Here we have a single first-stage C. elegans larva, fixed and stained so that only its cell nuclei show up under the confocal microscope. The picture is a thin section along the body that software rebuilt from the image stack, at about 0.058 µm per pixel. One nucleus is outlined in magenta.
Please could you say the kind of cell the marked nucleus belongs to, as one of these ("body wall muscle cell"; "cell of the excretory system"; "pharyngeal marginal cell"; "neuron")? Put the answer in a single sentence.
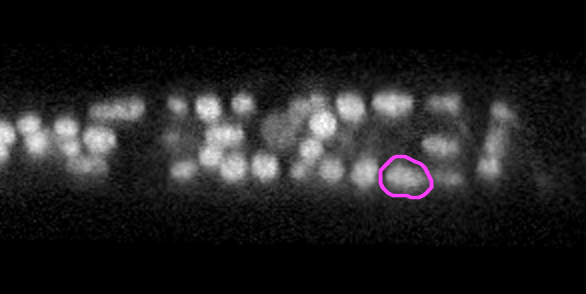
It is the nucleus of a cell of the excretory system.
